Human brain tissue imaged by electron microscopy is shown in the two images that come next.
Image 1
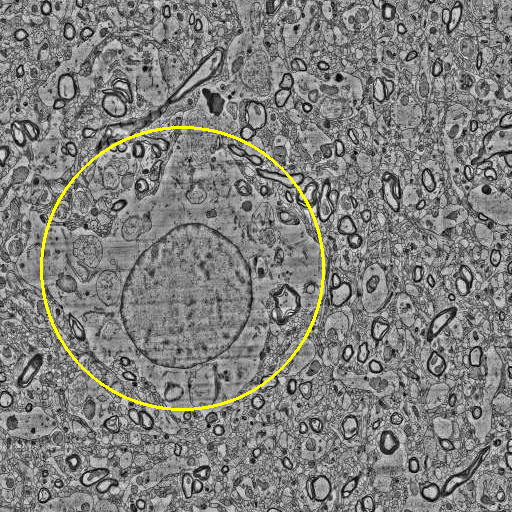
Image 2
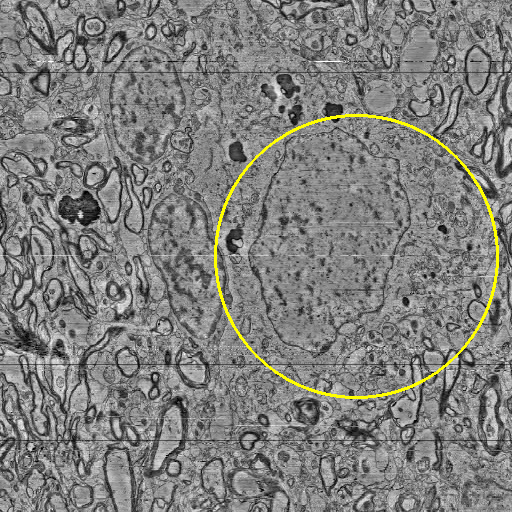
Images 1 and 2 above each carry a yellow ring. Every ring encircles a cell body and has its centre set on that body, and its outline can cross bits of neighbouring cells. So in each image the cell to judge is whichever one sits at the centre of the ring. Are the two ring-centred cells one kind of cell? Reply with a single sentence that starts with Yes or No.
No, in Image 1 and Image 2 the cells at the centres of their rings fall into two types.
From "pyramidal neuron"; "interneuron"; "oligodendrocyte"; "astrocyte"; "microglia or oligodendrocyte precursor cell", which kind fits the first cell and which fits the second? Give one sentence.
The cell marked in the first picture is an astrocyte, and the one marked in the second is a pyramidal neuron.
